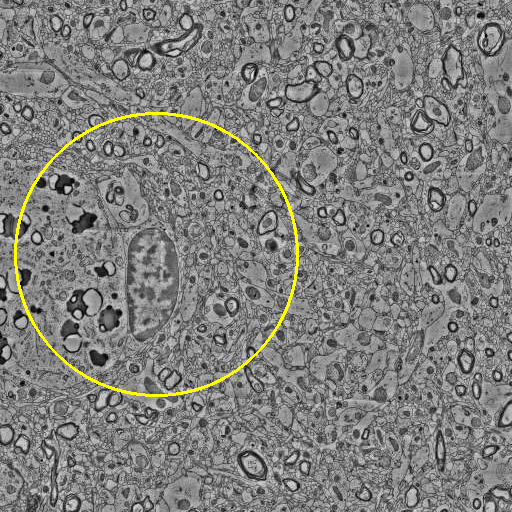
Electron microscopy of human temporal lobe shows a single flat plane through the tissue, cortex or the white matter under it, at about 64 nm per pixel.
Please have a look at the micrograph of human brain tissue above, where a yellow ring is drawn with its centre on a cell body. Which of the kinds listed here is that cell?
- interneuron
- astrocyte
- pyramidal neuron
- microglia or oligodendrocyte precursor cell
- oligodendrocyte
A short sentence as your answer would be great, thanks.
At the centre of the ring sits a microglial cell or oligodendrocyte precursor cell.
